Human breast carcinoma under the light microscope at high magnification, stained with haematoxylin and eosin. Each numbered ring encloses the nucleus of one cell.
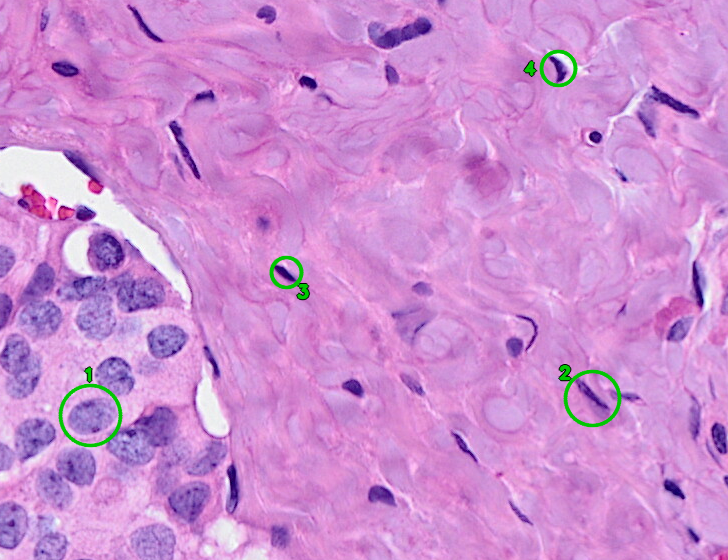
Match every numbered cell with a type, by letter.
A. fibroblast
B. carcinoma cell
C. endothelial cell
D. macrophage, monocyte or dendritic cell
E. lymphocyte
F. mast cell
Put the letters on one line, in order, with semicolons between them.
B; A; A; A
